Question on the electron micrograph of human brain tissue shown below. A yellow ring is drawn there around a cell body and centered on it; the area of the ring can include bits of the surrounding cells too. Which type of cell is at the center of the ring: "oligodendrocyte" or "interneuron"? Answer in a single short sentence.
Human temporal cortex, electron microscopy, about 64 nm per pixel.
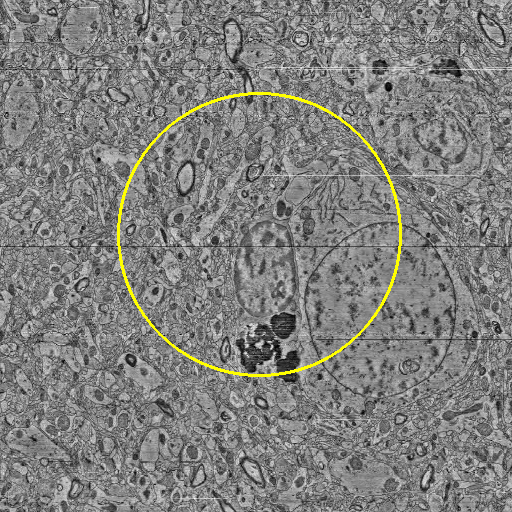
The ring is centered on an oligodendrocyte.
